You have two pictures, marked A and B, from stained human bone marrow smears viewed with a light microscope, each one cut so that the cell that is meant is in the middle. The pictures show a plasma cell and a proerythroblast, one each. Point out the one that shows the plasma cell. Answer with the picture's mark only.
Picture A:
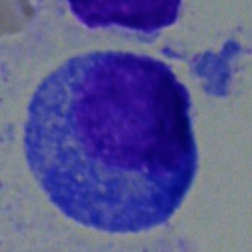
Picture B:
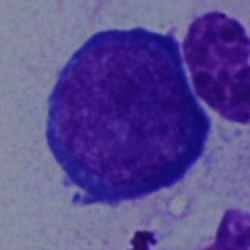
A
